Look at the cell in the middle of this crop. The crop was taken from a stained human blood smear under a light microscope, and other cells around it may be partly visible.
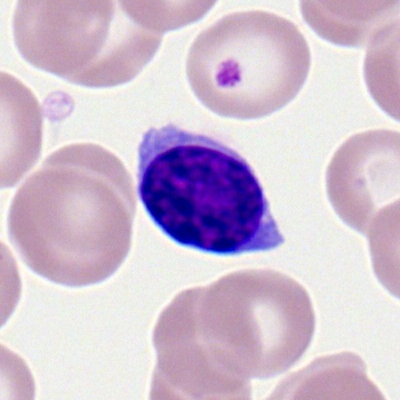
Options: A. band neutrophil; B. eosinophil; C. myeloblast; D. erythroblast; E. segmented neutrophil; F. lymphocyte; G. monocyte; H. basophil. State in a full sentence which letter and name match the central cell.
The correct option here is F; the middle cell is a lymphocyte.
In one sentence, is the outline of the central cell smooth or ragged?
Irregular and not smooth, the cell boundary is ragged or drawn out into projections.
